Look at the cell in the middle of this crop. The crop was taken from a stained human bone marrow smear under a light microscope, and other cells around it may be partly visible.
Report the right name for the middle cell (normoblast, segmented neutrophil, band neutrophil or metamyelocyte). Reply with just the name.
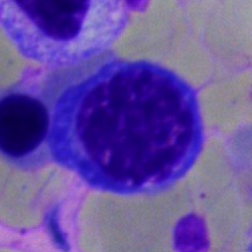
normoblast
